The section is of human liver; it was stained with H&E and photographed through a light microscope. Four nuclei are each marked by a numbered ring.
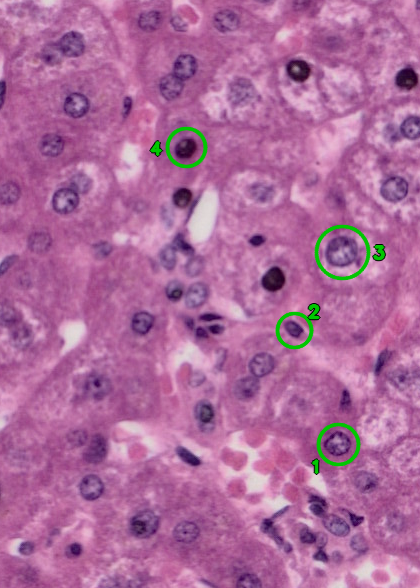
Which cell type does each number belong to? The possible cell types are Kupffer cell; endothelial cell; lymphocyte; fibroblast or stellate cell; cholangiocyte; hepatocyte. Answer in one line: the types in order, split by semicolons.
hepatocyte; lymphocyte; hepatocyte; hepatocyte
